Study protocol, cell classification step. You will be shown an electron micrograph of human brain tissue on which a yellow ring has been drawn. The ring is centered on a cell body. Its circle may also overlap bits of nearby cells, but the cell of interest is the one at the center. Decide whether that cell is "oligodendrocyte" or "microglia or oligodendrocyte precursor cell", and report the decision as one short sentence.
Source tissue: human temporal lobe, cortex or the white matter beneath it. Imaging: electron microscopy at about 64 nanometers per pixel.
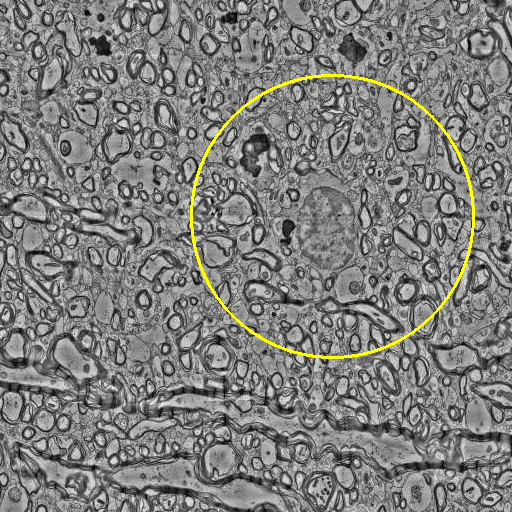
The marked cell is an oligodendrocyte.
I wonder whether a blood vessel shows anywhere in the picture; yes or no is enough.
No, the picture includes no blood vessel.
